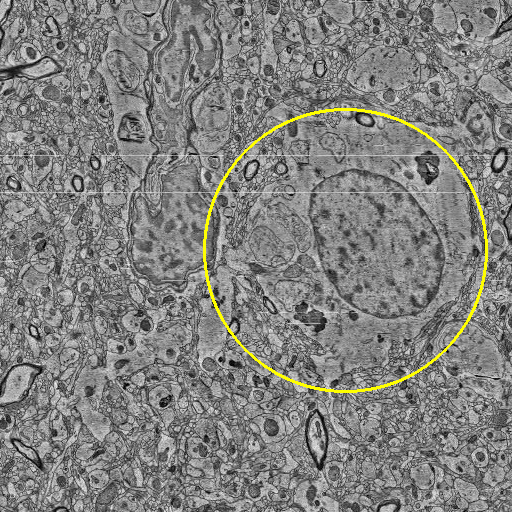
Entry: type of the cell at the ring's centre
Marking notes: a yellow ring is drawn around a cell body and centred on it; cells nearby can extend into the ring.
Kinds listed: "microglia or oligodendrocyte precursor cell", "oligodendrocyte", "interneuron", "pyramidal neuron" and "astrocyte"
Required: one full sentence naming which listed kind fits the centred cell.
My entry names an astrocyte as the cell whose body the yellow ring centres on.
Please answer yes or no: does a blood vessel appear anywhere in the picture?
Yes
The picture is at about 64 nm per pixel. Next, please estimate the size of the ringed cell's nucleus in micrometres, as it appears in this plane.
The nucleus appears roughly 10 by 7 micrometres in this plane.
